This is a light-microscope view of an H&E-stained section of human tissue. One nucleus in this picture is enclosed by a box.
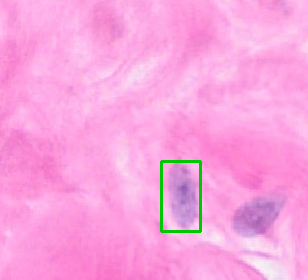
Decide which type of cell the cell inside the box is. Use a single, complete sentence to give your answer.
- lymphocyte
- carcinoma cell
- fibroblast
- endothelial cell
In the context of this tissue, the cell inside the box is a fibroblast.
